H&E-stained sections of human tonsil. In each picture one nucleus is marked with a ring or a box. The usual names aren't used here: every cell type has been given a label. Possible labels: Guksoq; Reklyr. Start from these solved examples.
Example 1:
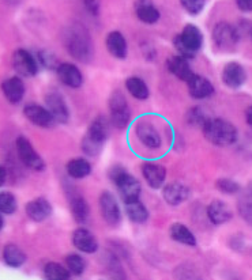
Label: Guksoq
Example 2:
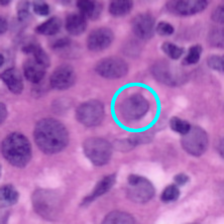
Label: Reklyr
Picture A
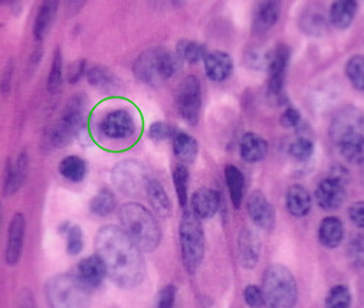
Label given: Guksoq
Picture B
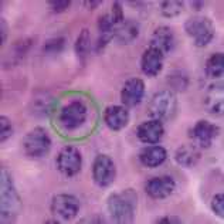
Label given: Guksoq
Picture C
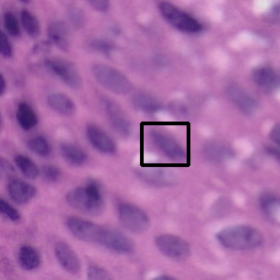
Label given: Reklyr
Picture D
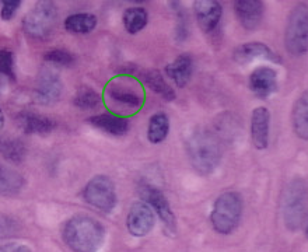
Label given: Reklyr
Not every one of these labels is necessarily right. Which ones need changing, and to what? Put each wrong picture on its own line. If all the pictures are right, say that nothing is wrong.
Every label is right.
